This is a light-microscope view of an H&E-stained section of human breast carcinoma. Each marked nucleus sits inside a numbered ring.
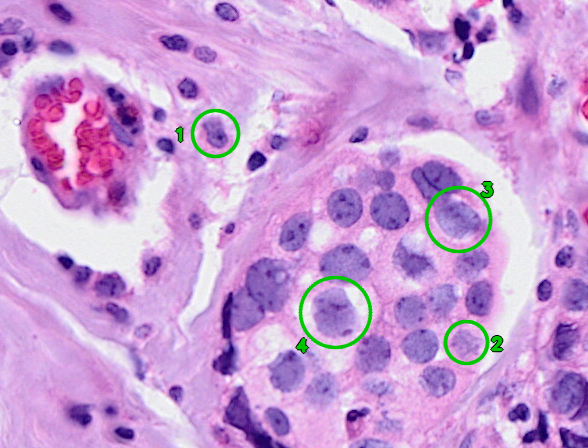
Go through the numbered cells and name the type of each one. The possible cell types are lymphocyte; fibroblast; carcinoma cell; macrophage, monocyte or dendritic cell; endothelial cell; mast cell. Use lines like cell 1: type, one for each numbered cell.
cell 1: mast cell
cell 2: carcinoma cell
cell 3: carcinoma cell
cell 4: carcinoma cell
